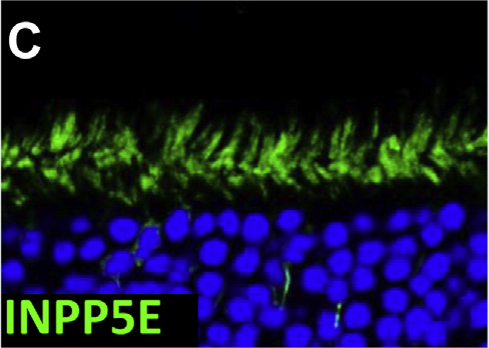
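This section of the photoreceptor layer shows a dense layer of blue-stained, round to oval nuclei at the bottom, packed closely in several tiers. Directly above the nuclei lies a continuous band of green signal made of many thin, parallel streaks oriented perpendicular to the nuclear layer, corresponding to the inner segments. The streaks are closely spaced and of fairly even length across the field. Above this band the outermost zone, where the outer segments lie, is dark. A few thin green threads run between the nuclei in the nuclear layer.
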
